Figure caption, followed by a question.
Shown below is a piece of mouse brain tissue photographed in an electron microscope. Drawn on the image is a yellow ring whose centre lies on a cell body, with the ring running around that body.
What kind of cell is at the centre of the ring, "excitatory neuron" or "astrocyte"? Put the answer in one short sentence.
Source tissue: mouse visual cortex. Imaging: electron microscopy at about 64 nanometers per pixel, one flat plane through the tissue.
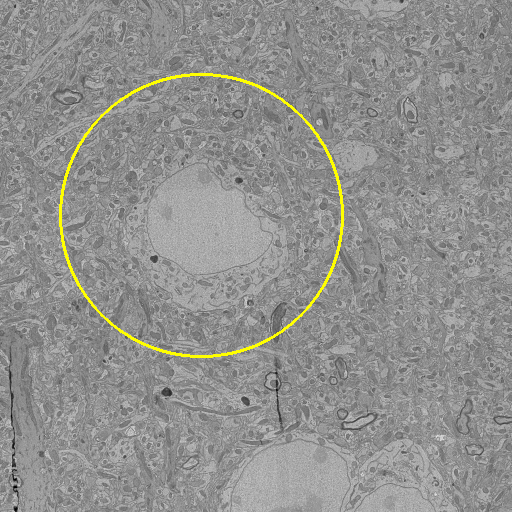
The ring marks the cell body of an excitatory neuron.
